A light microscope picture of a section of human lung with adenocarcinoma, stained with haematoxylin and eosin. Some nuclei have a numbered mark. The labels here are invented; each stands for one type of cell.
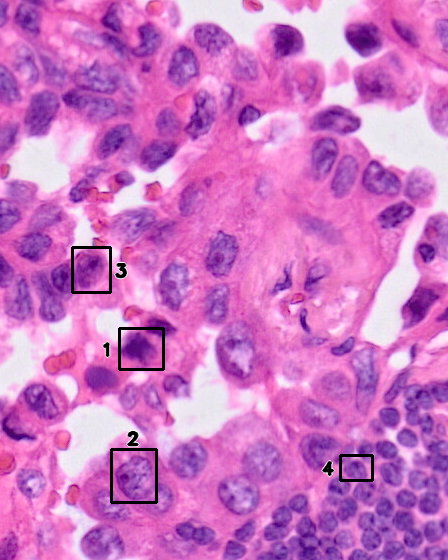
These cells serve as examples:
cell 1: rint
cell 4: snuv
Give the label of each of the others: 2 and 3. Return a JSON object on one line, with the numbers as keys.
{"2": "rint", "3": "rint"}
